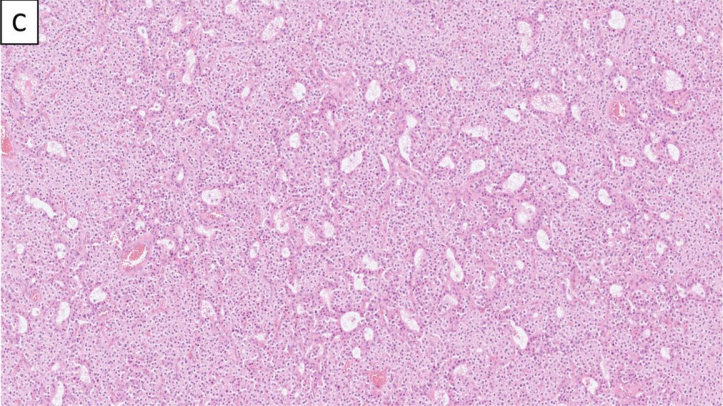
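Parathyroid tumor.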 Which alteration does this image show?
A: Microcystic change.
